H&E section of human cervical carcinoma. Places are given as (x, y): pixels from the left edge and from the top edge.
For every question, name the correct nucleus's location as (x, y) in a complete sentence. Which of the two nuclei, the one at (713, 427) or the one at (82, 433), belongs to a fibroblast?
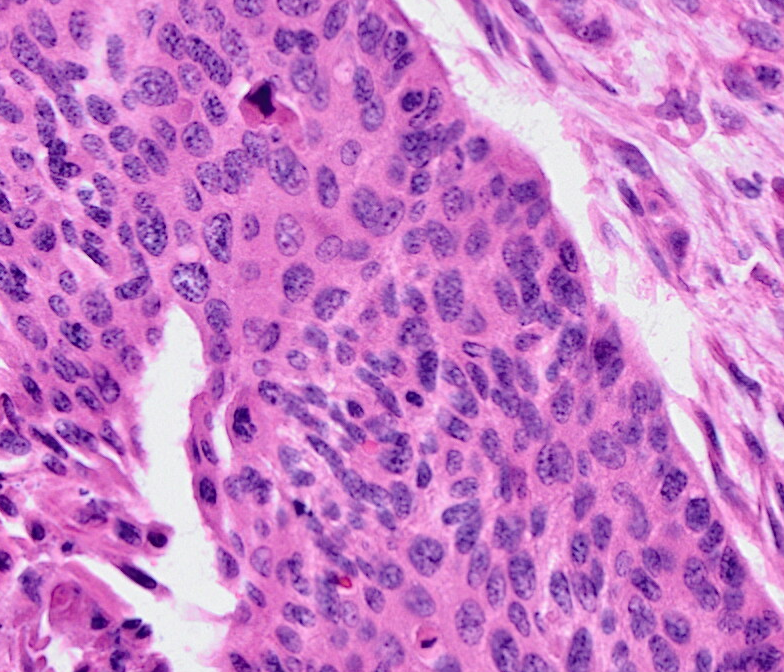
Among the two nuclei, the one lying at (713, 427) is part of a fibroblast.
